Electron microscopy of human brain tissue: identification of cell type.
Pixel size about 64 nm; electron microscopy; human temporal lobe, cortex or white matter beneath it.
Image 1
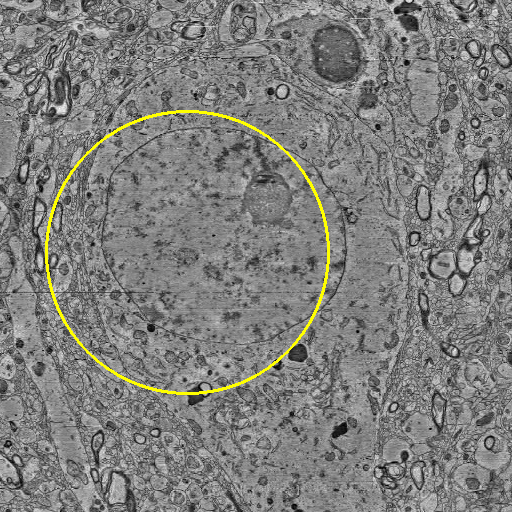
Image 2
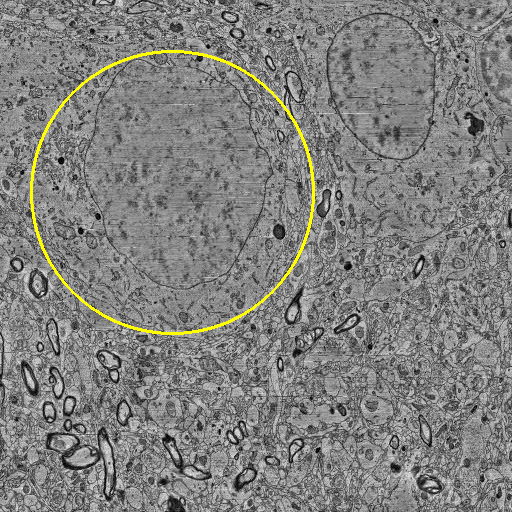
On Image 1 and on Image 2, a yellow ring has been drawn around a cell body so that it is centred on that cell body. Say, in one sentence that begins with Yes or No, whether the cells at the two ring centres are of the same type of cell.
Yes, both cells are the same type of cell.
